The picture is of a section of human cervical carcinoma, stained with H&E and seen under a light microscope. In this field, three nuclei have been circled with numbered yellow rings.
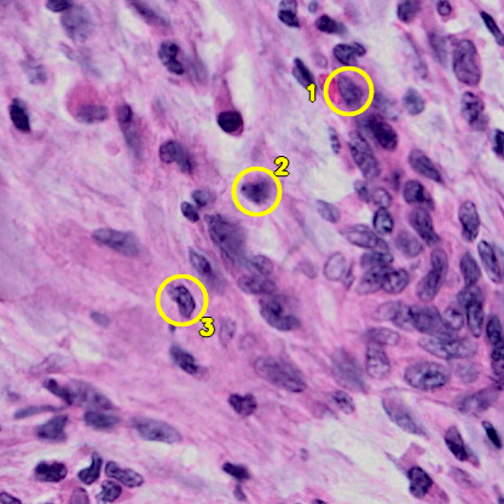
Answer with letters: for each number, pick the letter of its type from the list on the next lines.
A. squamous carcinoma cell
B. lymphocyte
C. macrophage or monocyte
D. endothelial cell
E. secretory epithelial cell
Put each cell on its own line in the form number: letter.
1: D
2: B
3: B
